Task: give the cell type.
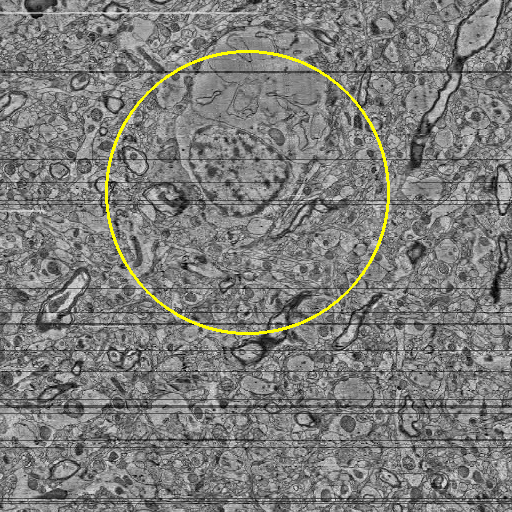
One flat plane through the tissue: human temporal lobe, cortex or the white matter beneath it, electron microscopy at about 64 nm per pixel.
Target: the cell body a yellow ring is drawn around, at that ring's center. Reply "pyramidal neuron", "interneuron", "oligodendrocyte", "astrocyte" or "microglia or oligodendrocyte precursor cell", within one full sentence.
In this picture, the cell whose body lies at the ring's center is a microglial cell or oligodendrocyte precursor cell.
